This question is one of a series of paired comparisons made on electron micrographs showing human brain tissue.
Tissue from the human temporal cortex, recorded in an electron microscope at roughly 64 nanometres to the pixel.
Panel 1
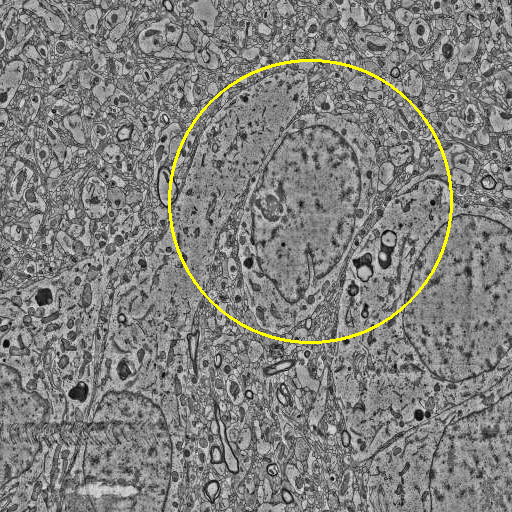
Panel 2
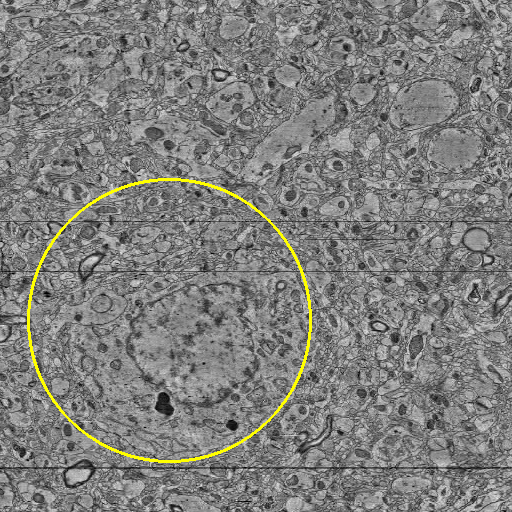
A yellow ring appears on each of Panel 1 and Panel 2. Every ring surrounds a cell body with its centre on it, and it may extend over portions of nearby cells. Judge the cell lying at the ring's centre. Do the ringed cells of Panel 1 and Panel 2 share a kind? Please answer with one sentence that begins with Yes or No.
Yes, the ring-centre cell in Panel 1 and the one in Panel 2 are of one kind.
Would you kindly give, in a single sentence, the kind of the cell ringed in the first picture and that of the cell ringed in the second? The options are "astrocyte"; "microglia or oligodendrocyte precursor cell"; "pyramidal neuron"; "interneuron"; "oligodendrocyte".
Each of the two rings is centred on an interneuron.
